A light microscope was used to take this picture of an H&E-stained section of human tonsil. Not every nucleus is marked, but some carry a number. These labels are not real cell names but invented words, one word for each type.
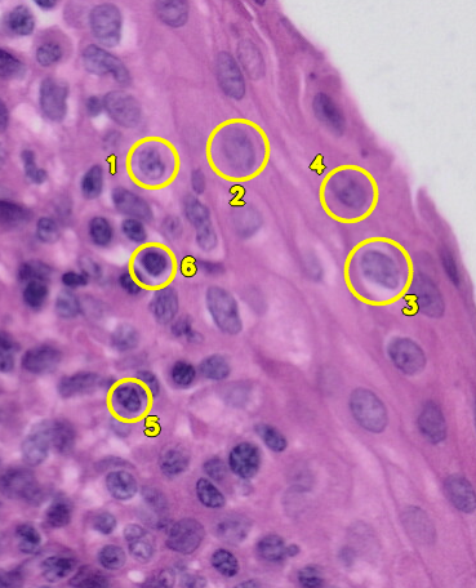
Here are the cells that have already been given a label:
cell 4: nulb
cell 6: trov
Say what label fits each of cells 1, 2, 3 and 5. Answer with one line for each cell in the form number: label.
1: nulb
2: nulb
3: nulb
5: trov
